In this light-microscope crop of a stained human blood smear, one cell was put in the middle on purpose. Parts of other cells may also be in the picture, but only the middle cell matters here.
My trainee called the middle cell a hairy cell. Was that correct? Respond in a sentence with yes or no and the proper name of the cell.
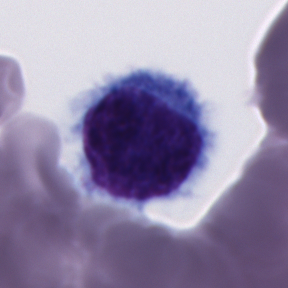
Yes, the middle cell is classified as a hairy cell.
